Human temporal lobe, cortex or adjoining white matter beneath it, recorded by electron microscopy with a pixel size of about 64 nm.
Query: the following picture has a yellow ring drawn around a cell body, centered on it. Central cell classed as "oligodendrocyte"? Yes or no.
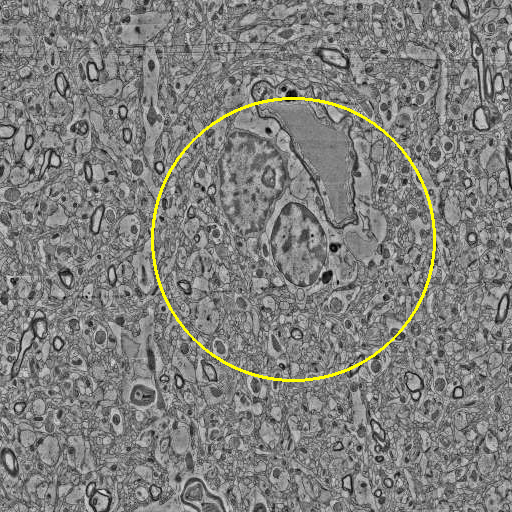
no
